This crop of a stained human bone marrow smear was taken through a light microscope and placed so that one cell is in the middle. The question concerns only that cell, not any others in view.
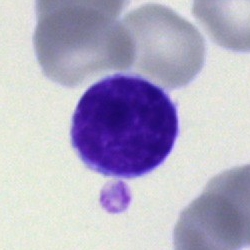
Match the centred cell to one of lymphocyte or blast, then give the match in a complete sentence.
In the middle of this smear crop is a lymphocyte.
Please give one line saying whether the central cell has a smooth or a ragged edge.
Thanks for asking; the cell edge is smooth and has no projections.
